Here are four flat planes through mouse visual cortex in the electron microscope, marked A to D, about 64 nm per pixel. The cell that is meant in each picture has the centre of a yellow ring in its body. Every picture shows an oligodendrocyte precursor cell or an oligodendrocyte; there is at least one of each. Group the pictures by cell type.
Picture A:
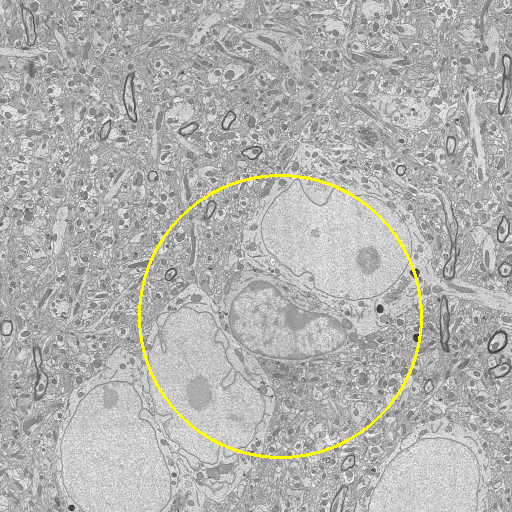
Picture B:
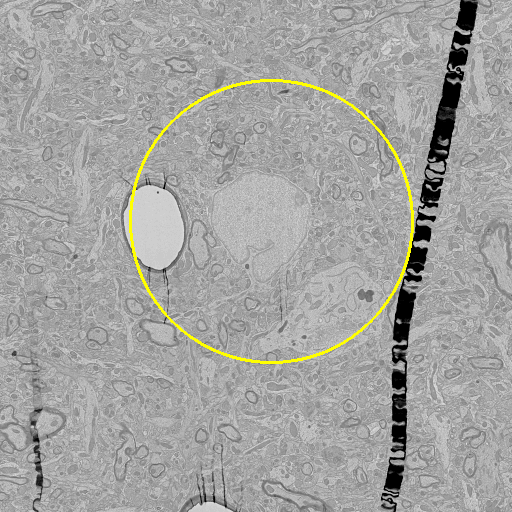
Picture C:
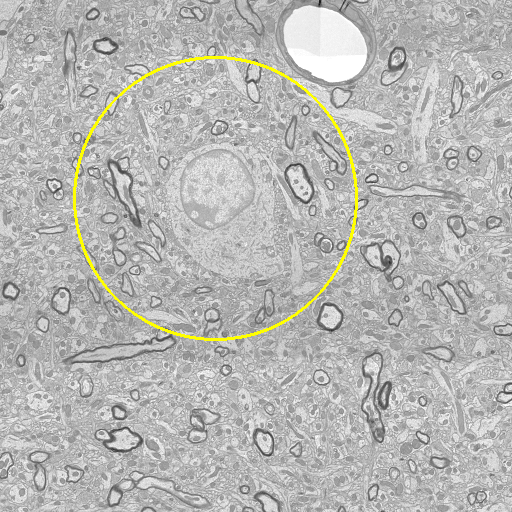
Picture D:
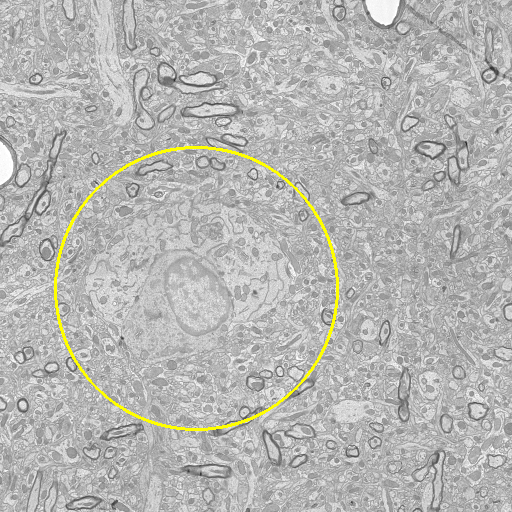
Picture B shows an oligodendrocyte precursor cell; pictures A, C and D show oligodendrocytes.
